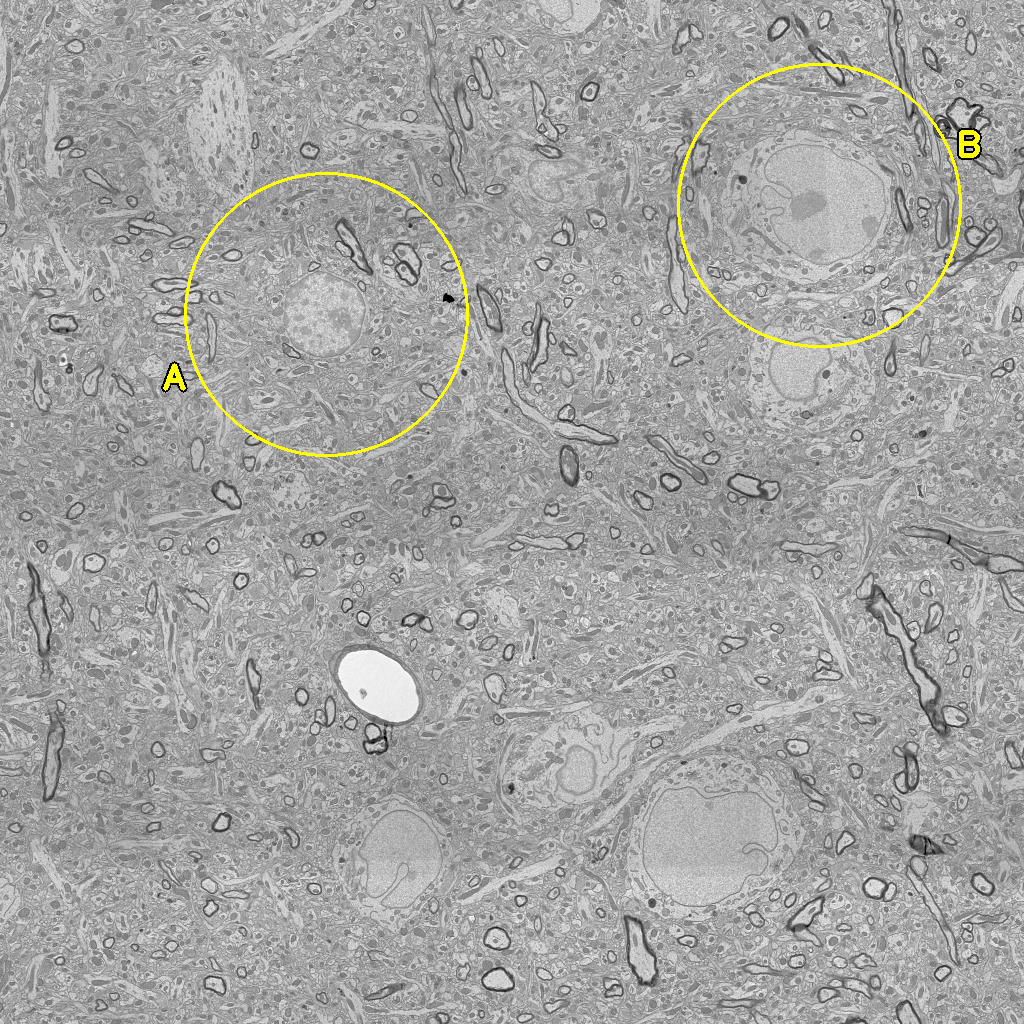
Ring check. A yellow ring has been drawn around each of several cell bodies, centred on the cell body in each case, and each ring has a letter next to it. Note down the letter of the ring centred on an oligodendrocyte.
A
